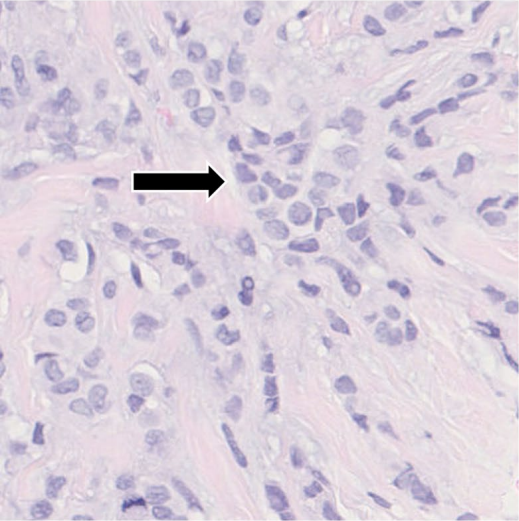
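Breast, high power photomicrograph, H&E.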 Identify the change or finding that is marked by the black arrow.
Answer: Single-file appearance.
